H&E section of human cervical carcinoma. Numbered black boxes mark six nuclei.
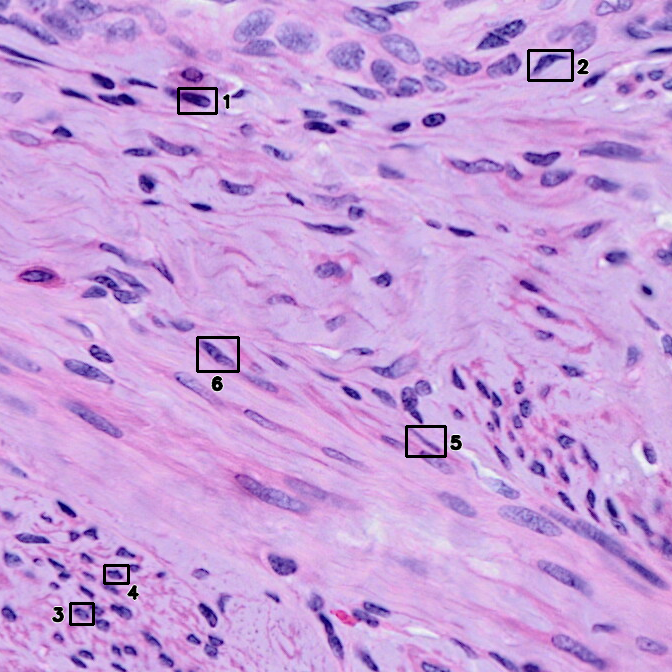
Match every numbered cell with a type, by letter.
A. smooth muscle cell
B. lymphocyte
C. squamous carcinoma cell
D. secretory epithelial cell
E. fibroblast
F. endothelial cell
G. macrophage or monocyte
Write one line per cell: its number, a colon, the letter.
1: B
2: E
3: A
4: A
5: A
6: A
